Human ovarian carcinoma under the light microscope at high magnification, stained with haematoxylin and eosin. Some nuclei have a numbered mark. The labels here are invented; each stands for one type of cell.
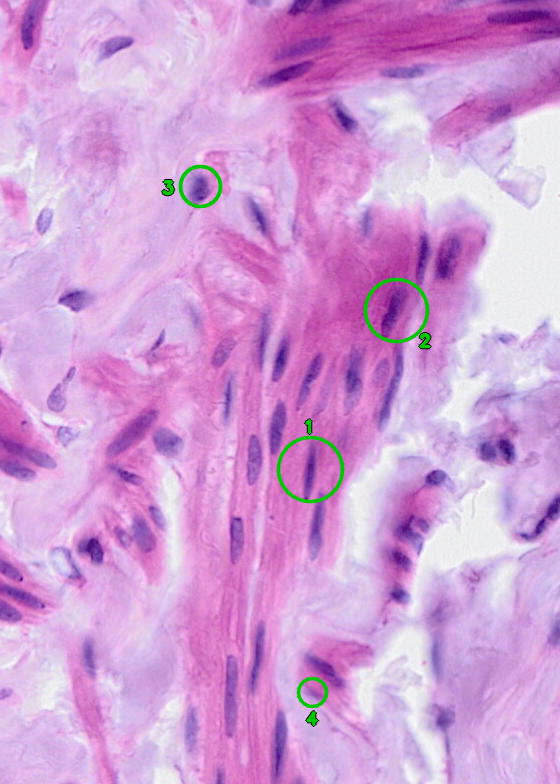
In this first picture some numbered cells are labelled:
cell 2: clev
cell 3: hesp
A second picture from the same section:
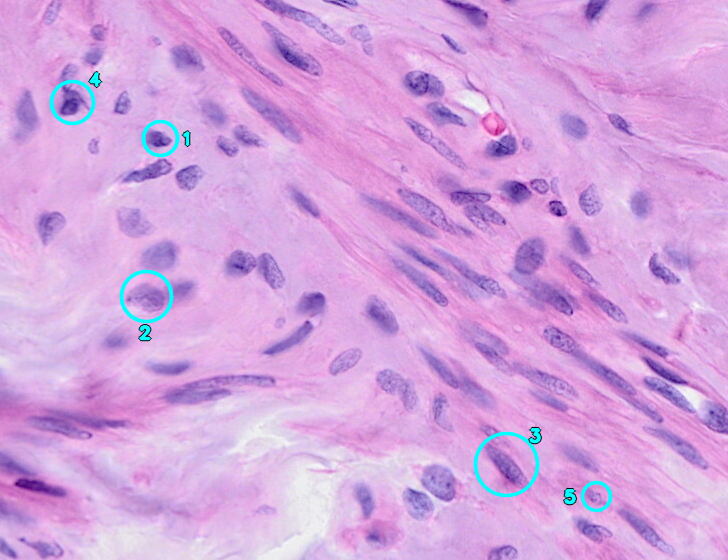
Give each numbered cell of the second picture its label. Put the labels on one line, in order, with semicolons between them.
hesp; hesp; clev; hesp; clev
